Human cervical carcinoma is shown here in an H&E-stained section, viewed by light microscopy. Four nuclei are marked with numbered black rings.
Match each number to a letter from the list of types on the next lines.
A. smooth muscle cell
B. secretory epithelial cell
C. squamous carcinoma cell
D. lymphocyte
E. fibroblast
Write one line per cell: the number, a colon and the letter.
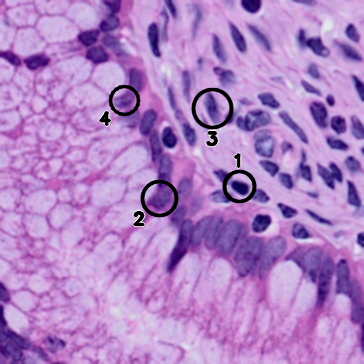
1: D
2: B
3: E
4: B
